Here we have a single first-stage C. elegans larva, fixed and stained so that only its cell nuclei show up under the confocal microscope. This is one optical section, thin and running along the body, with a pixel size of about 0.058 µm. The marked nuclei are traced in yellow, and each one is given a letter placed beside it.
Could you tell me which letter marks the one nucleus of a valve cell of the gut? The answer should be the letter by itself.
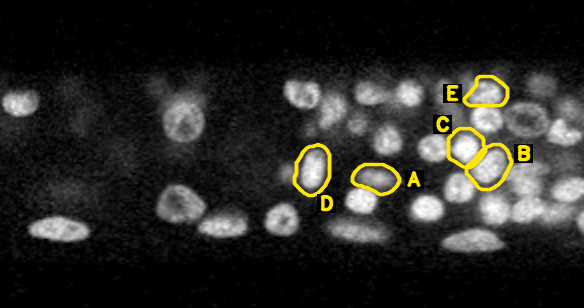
D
